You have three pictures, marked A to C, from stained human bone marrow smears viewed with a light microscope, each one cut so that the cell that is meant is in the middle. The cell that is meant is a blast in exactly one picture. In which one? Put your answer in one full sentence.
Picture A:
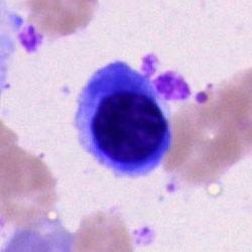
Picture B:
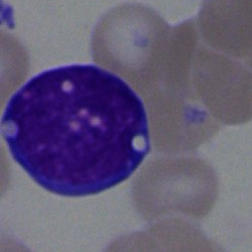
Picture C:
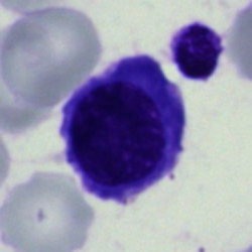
Picture B shows the blast.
